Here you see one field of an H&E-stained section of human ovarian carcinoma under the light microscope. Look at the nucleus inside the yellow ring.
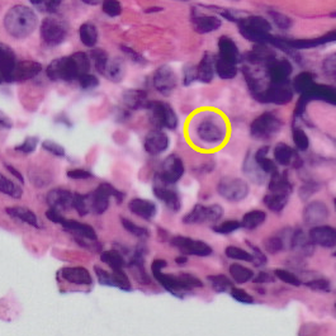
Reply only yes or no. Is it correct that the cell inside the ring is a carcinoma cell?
no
